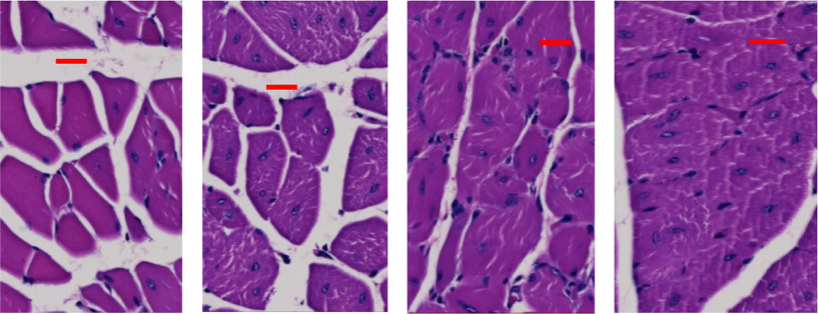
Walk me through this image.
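These are cross sections of skeletal muscle, each myofiber a polygonal pink-purple profile separated from its neighbours by thin pale spaces of connective tissue. In the first image the nuclei are few and lie pressed at the margins of the fibers. In the other three, many fibers carry dark nuclei sitting inside the fiber rather than at its edge, the mark of regenerating, centrally nucleated myofibers.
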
